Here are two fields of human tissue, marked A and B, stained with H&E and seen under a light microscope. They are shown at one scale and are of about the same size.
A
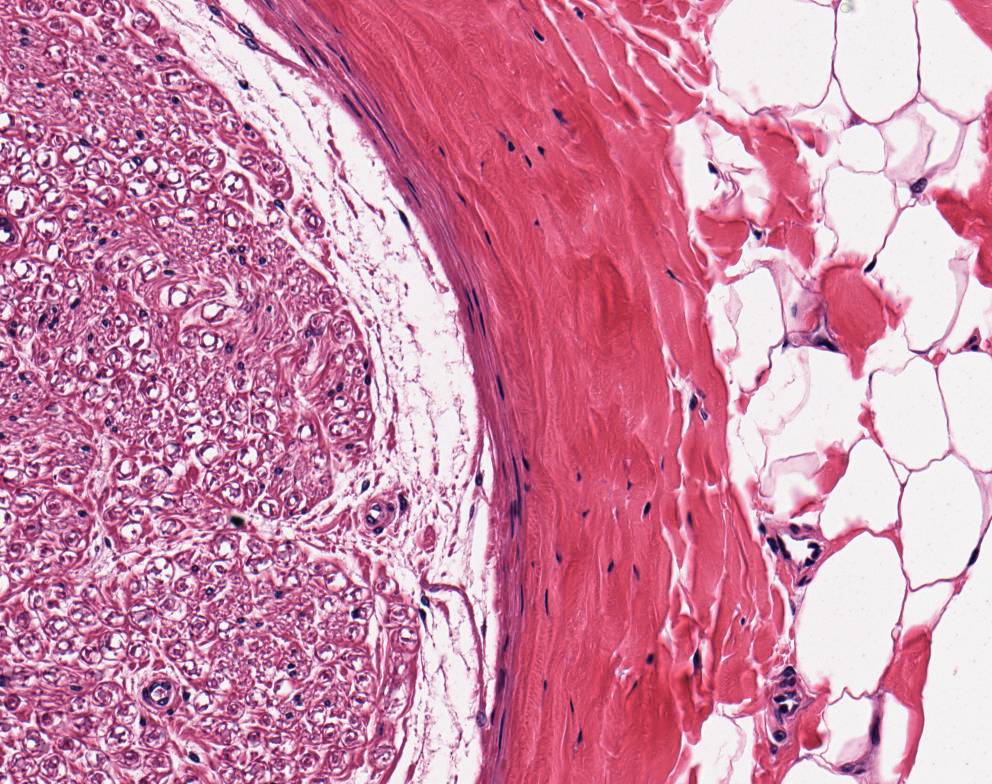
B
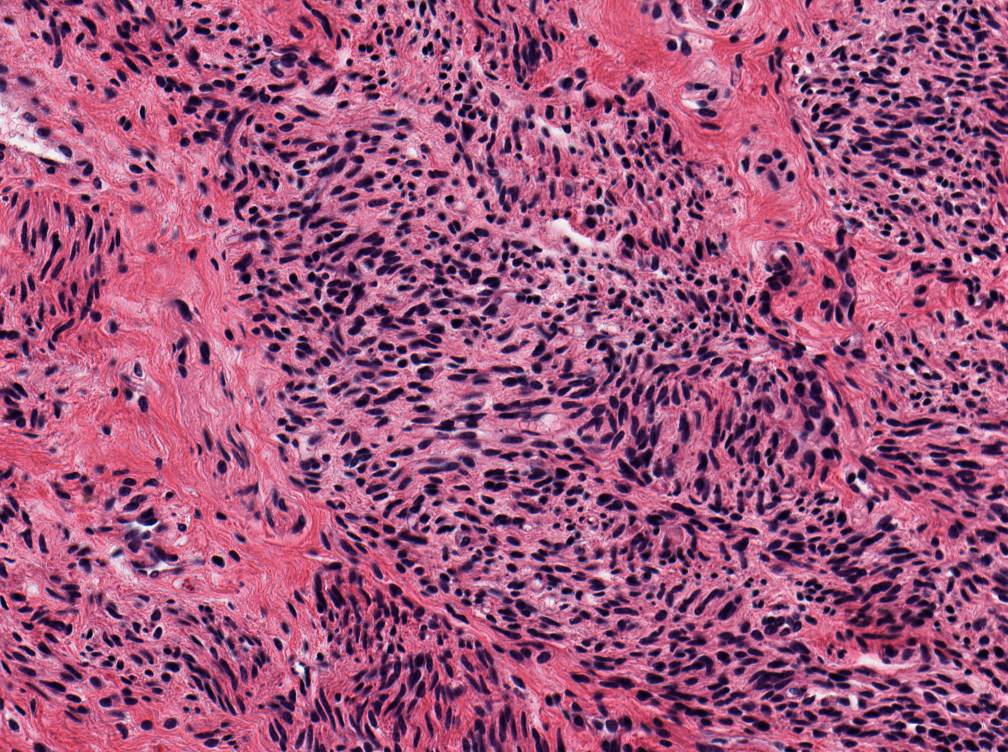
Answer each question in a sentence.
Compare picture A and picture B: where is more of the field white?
Unstained space takes up more of picture A than of picture B.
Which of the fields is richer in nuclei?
It is picture B that has more nuclei in it.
